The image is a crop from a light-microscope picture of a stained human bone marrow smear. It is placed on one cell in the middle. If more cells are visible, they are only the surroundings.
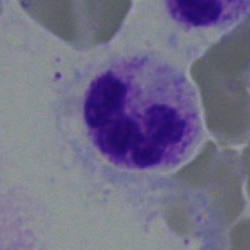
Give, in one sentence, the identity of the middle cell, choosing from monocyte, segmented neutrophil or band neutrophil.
The cell featured at the centre of this crop is a segmented neutrophil.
